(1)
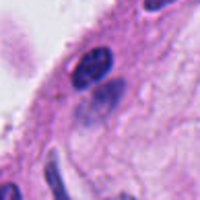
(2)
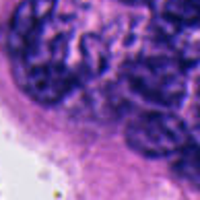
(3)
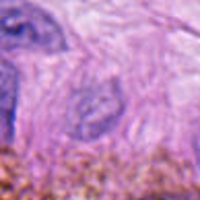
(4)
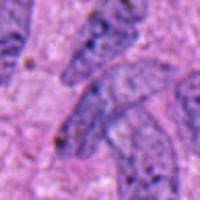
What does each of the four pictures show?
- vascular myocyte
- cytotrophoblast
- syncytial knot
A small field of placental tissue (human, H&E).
1: cytotrophoblast
2: syncytial knot
3: vascular myocyte
4: vascular myocyte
